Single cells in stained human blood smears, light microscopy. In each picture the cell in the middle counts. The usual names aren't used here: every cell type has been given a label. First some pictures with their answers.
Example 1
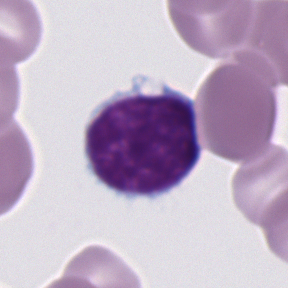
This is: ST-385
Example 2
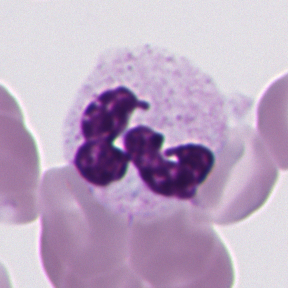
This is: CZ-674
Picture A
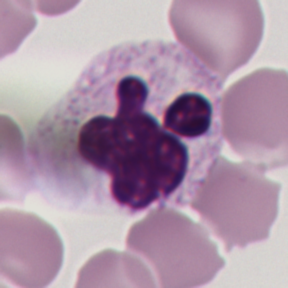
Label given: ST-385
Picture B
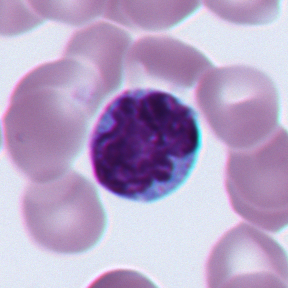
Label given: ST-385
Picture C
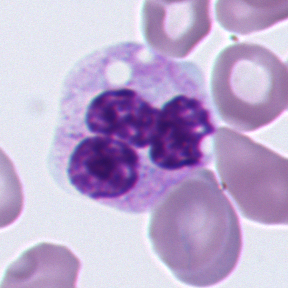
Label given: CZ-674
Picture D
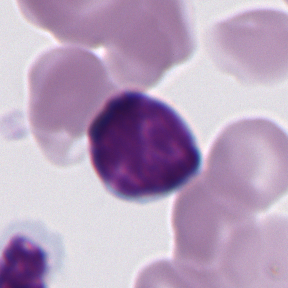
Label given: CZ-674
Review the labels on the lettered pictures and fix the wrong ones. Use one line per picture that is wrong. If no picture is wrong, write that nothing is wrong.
A should be CZ-674, not ST-385
D should be ST-385, not CZ-674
